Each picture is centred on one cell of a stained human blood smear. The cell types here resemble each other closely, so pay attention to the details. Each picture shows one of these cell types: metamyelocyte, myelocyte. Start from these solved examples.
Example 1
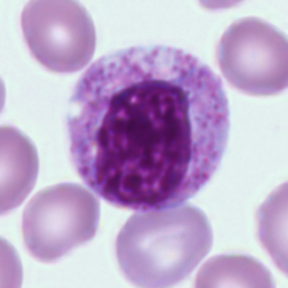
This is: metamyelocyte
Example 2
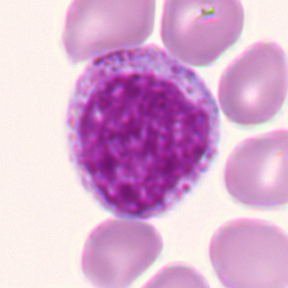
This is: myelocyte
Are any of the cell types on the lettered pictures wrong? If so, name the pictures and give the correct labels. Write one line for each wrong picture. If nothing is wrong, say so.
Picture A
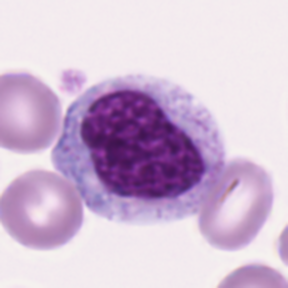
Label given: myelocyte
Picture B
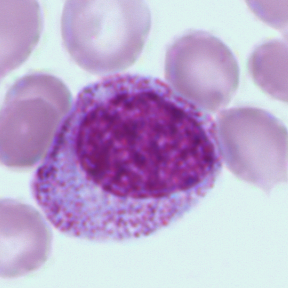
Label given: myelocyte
A: not myelocyte but metamyelocyte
